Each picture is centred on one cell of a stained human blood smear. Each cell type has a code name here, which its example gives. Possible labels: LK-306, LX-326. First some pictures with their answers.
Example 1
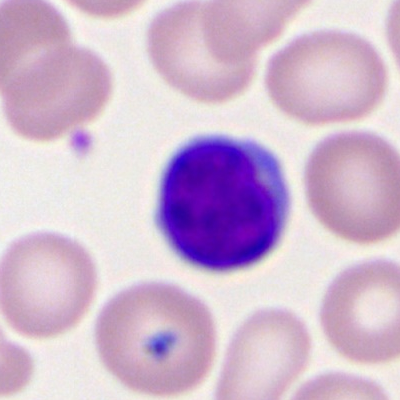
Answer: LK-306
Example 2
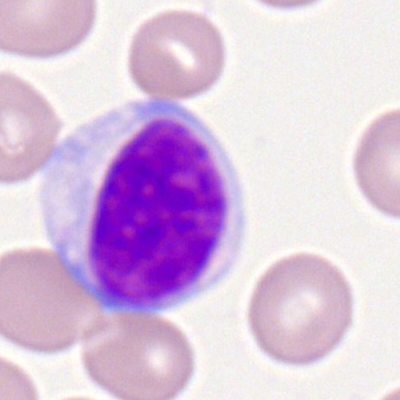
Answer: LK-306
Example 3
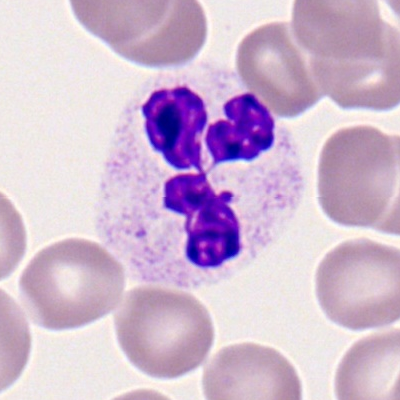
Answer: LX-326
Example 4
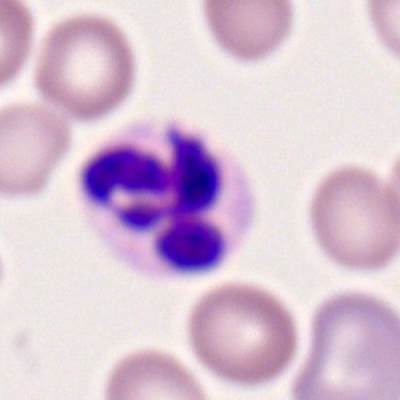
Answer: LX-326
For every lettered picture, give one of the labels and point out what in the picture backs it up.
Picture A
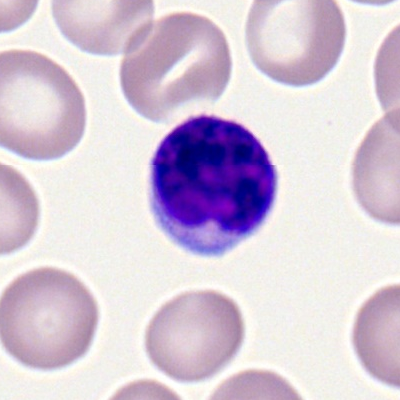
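LK-306: A scant rim of pale blue cytoplasm shows mainly along the lower edge.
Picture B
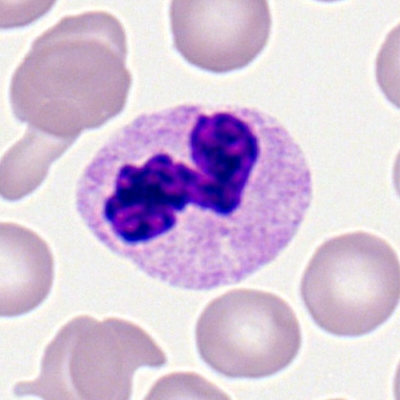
LX-326: The cytoplasm is abundant and pale pinkish-lilac.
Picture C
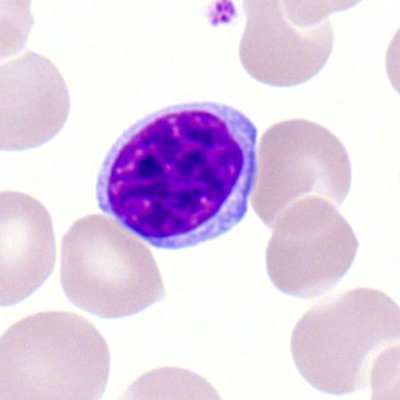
LK-306: The cytoplasm forms only a thin rim around the nucleus.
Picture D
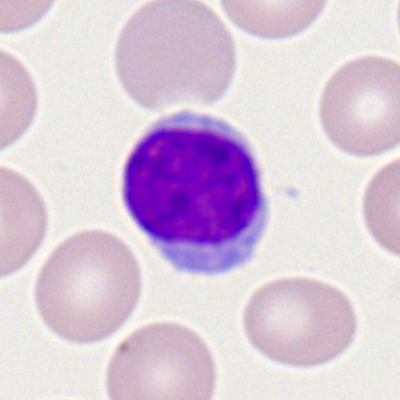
LK-306: The nucleus fills most of the cell.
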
